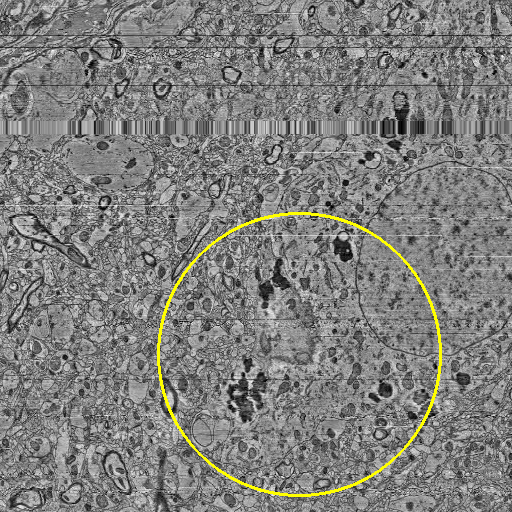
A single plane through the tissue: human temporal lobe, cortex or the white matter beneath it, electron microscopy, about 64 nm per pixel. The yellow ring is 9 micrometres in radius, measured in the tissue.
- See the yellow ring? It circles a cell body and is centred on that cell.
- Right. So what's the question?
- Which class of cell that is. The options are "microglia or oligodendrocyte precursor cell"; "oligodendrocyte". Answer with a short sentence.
The centre of the ring holds an oligodendrocyte.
